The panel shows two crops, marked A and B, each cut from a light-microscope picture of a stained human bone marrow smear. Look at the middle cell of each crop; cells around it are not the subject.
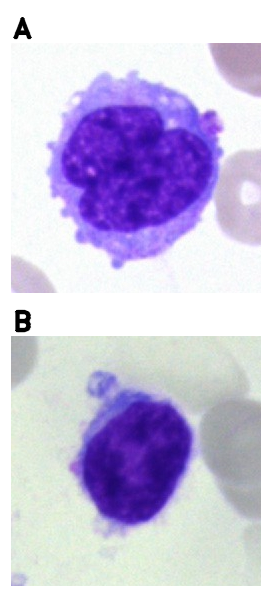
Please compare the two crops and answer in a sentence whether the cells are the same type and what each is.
No, cell A is a monocyte, and cell B is a hairy cell.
